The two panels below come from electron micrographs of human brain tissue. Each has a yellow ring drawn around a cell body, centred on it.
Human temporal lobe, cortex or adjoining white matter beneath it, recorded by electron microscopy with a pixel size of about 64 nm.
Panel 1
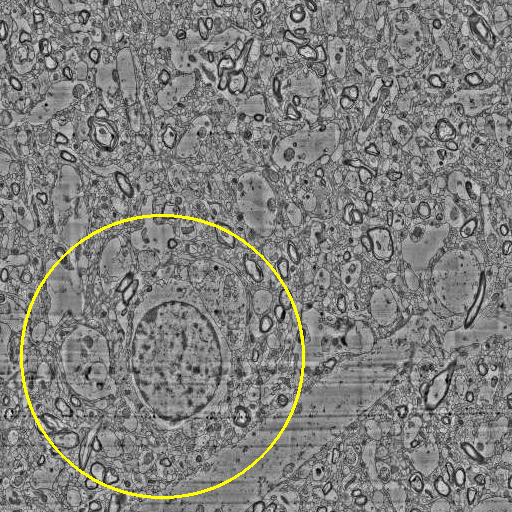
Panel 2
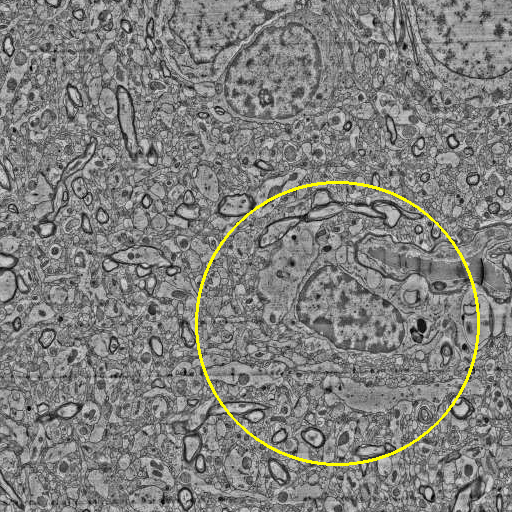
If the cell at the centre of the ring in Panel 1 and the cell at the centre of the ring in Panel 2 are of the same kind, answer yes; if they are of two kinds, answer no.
yes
